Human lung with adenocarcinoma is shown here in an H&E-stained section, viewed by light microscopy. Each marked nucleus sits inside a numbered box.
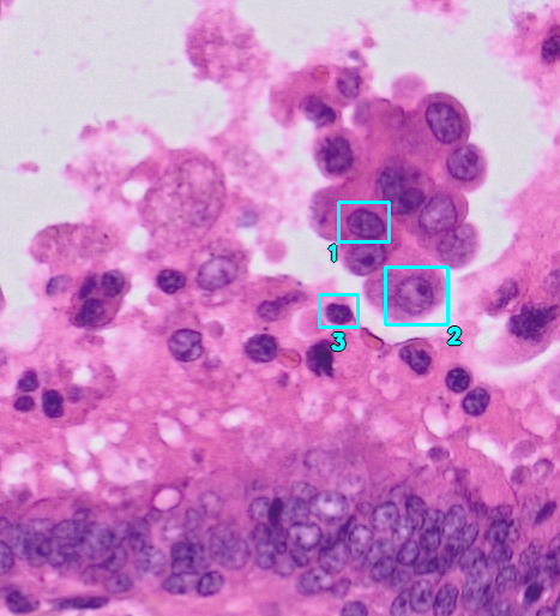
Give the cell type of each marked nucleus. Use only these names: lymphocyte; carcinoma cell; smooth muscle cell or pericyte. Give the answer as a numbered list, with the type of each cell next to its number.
1. carcinoma cell
2. carcinoma cell
3. lymphocyte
